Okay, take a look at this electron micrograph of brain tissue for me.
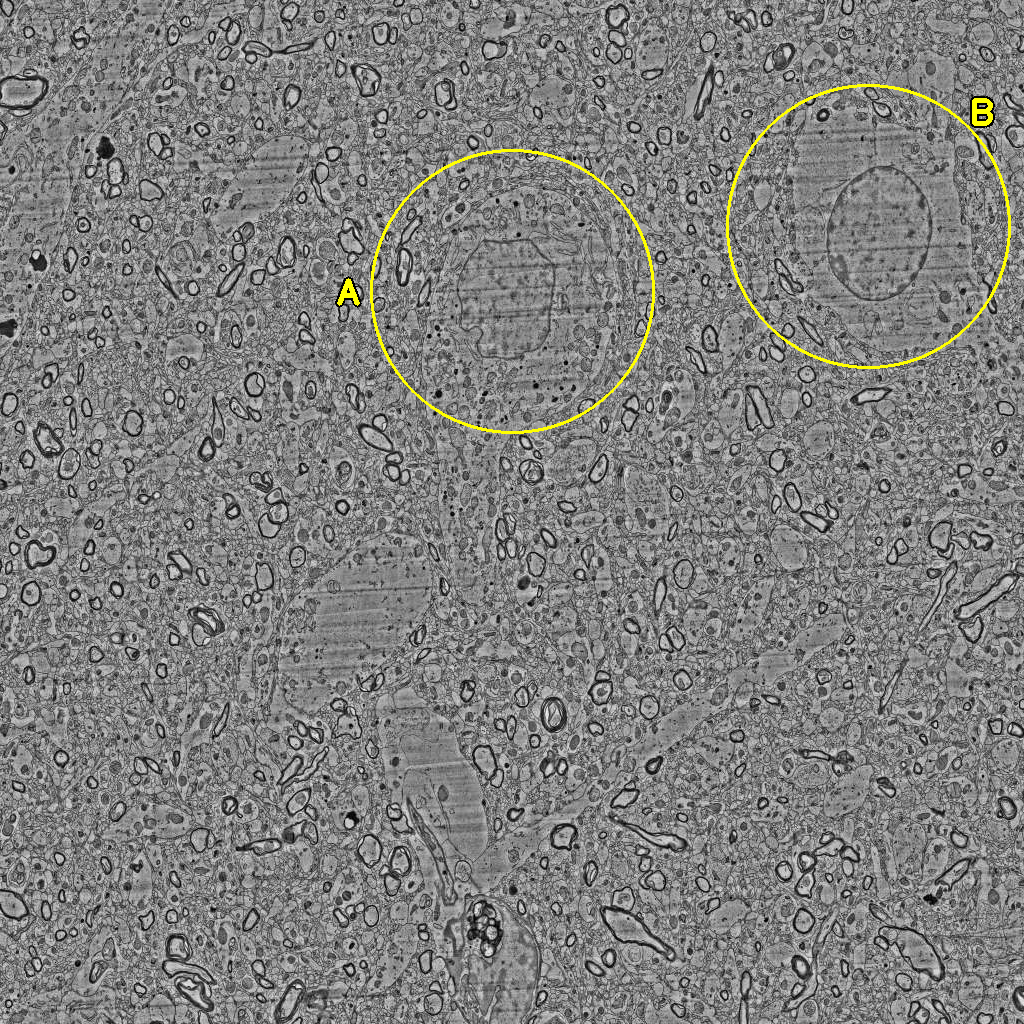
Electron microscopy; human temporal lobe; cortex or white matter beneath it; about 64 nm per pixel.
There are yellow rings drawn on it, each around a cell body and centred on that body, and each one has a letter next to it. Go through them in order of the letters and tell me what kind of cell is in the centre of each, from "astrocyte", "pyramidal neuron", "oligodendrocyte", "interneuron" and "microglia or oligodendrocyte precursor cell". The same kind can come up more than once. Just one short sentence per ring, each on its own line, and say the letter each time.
In the centre of ring A there's a pyramidal neuron.
In the centre of ring B there's an astrocyte.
